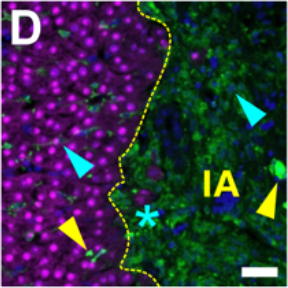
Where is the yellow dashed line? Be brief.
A: Border zone.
